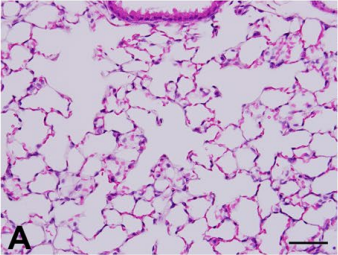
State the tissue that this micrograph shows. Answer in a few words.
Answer: lung parenchyma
